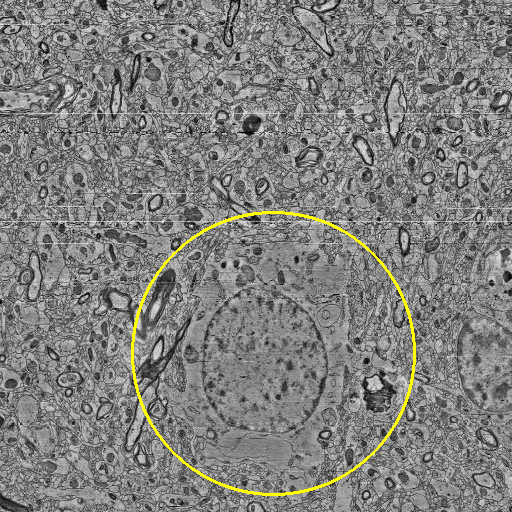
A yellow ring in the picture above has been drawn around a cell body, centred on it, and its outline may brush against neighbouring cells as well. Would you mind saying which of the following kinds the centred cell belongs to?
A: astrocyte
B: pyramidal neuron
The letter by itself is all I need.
A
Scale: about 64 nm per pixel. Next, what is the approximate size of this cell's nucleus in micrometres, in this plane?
In this plane the nucleus is about 10 micrometres by 8.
